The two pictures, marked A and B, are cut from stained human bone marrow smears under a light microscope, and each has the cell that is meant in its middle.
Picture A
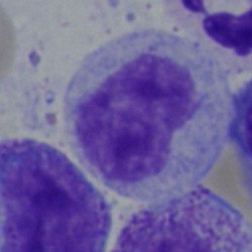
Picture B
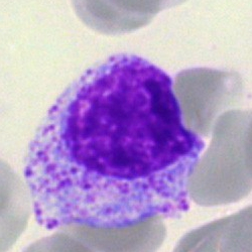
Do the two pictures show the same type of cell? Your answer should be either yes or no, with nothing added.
yes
